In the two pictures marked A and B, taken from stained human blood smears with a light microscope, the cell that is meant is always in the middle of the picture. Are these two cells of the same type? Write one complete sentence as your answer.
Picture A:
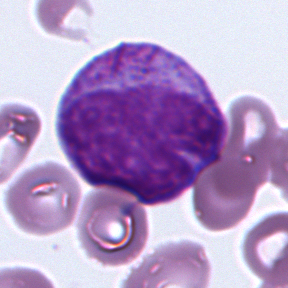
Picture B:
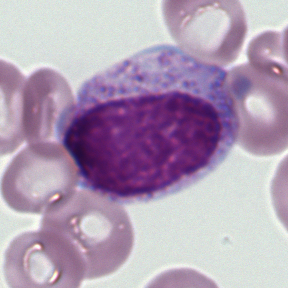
No, picture A shows an atypical promyelocyte and picture B shows a myelocyte.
